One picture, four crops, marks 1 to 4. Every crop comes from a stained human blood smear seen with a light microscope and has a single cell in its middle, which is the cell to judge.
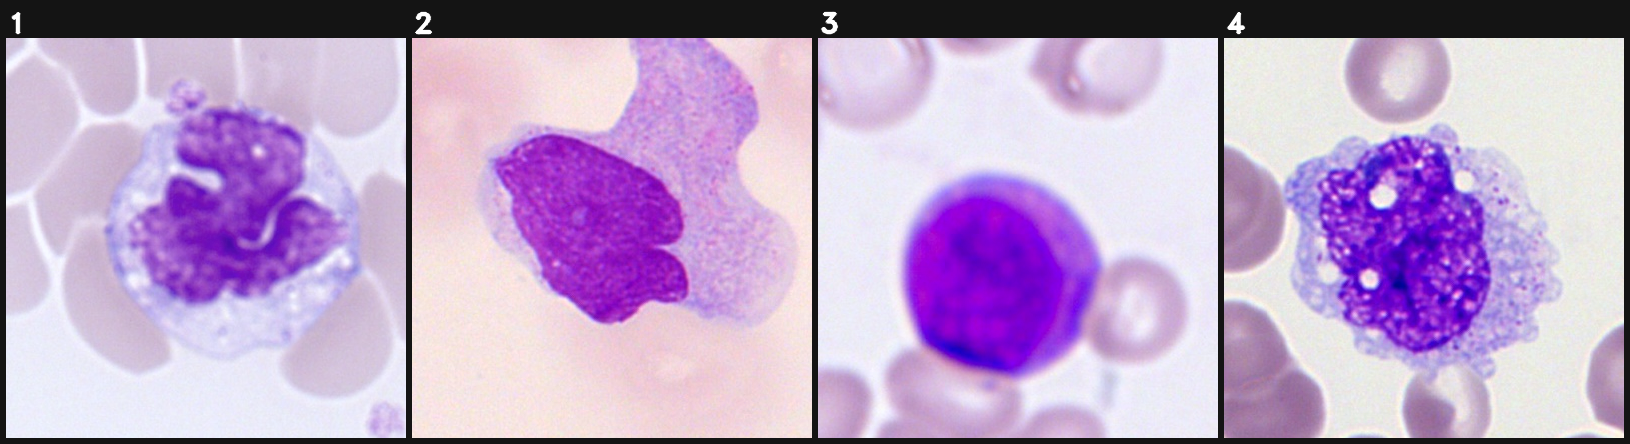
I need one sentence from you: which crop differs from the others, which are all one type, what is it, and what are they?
The crops all show monocytes, with the exception of crop 3, which shows a myeloblast.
